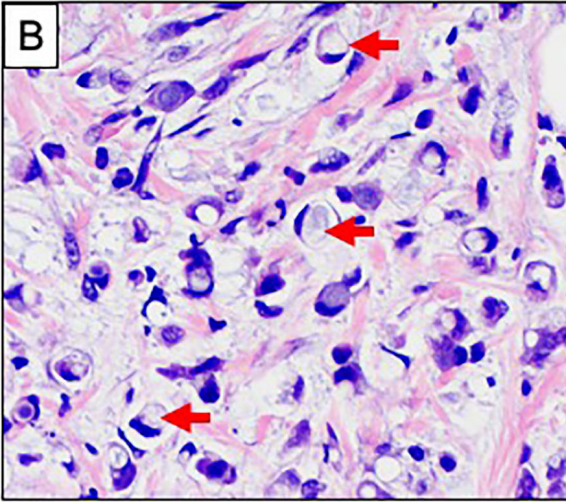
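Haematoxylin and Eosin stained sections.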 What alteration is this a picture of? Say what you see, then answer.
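Many cells have a large clear vacuole displacing the nucleus to one side. Cells lie singly in pink fibrous stroma.
Conclusion: Signet ring morphology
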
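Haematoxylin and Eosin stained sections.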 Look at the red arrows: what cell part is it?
Intracytoplasmic mucin vacuoles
